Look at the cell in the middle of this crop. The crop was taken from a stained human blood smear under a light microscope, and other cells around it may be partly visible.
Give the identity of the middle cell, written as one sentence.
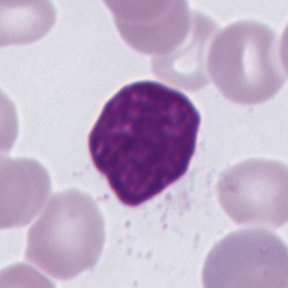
The central cell, amid any neighbouring cells, is a smudge cell.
